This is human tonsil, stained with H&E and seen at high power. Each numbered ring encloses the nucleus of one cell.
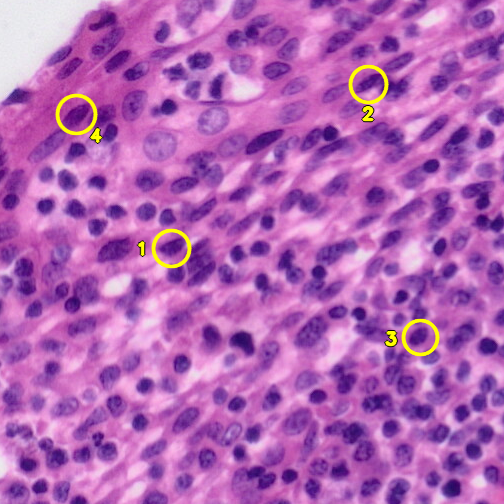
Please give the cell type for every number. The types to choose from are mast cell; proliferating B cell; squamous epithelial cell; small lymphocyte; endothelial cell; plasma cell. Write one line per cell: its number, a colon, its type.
1: squamous epithelial cell
2: squamous epithelial cell
3: plasma cell
4: squamous epithelial cell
